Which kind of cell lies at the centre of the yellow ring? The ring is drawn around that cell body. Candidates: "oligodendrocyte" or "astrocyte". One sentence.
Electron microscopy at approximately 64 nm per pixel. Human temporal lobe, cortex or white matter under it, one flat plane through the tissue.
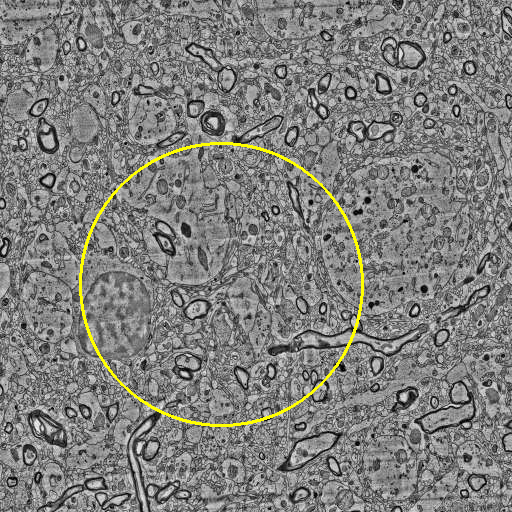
Lying at the centre of the ring is an astrocyte.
